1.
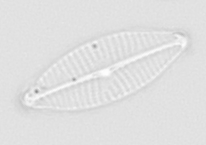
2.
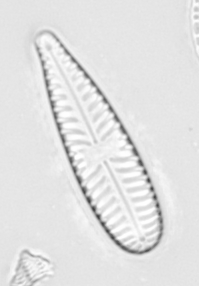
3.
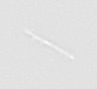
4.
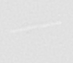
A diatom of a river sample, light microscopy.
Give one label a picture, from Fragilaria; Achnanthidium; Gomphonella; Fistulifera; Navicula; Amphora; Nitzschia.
(1) Navicula
(2) Gomphonella
(3) Fistulifera
(4) Fistulifera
